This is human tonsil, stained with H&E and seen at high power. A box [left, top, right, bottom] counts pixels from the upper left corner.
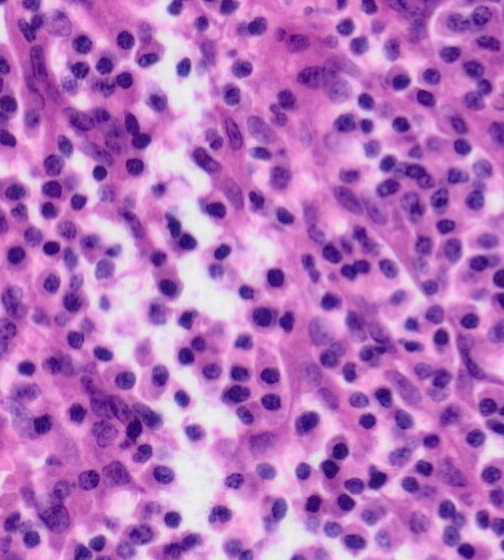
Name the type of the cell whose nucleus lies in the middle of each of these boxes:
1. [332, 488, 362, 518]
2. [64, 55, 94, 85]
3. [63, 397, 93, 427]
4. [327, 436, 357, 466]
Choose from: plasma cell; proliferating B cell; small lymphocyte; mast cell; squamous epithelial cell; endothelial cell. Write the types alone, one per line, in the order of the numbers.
plasma cell
plasma cell
squamous epithelial cell
plasma cell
